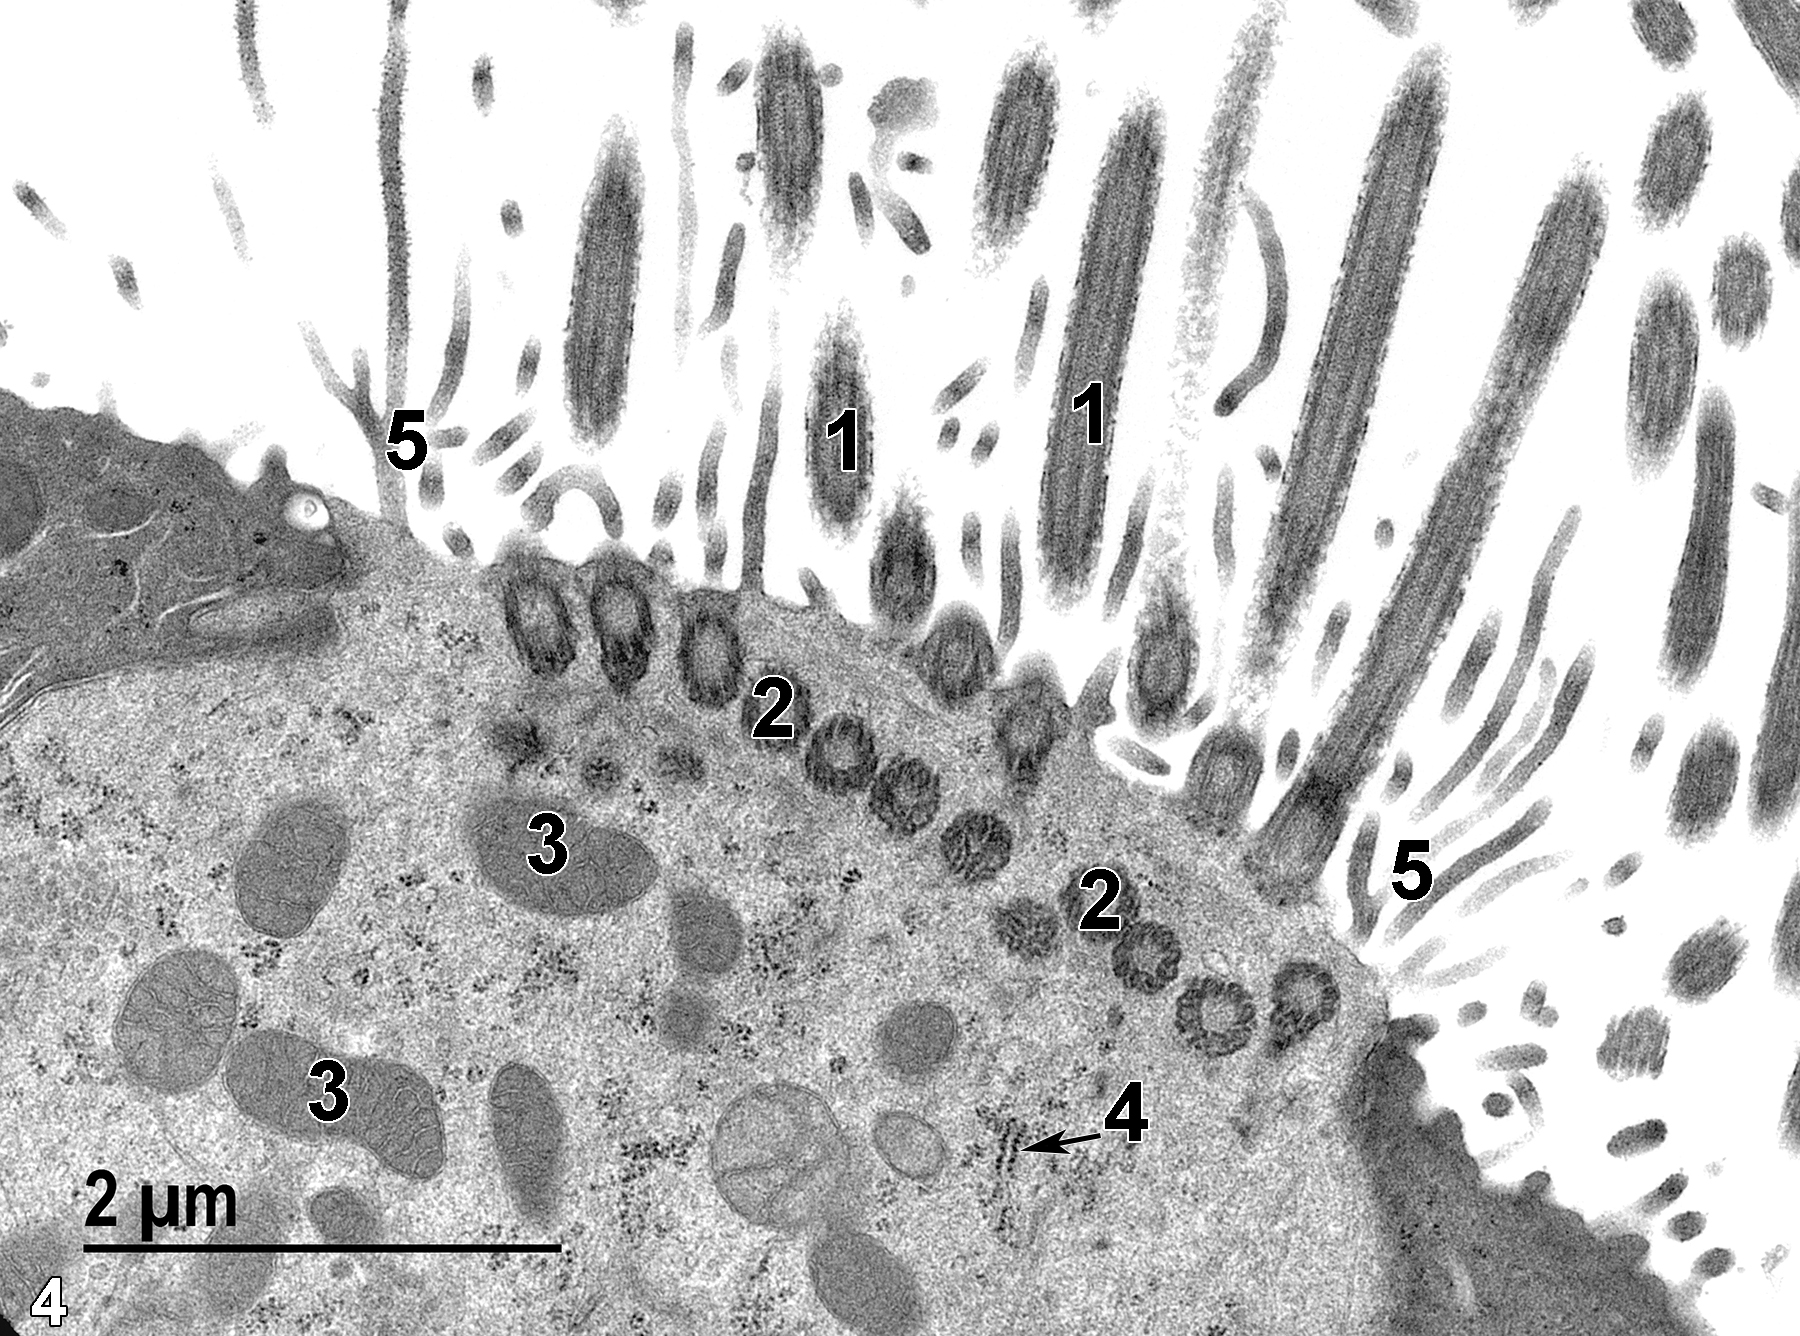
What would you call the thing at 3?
At 3: mitochondria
